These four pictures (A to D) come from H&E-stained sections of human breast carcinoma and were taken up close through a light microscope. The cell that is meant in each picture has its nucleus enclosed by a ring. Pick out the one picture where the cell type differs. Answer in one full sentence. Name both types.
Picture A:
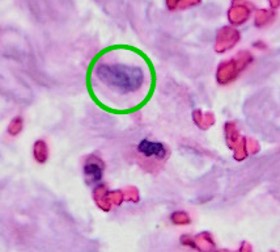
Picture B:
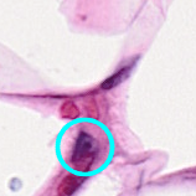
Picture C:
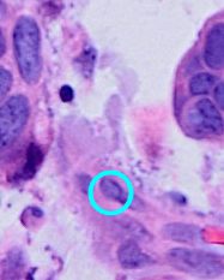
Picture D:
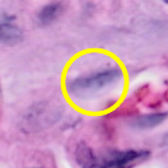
Picture A is the odd one out: it shows a fibroblast, while the others show endothelial cells.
